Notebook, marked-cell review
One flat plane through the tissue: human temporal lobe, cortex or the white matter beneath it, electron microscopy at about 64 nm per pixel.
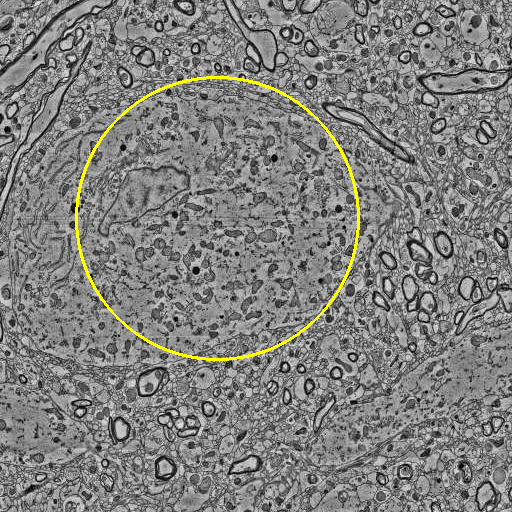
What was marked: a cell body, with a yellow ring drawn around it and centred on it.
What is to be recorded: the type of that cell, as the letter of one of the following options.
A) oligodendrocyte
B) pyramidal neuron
B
